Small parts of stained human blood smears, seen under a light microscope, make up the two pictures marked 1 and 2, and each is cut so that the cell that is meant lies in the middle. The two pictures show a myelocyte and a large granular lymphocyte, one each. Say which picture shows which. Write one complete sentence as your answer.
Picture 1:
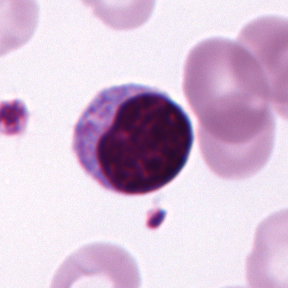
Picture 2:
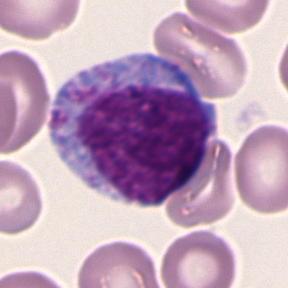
Picture 1 shows a large granular lymphocyte and picture 2 shows a myelocyte.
